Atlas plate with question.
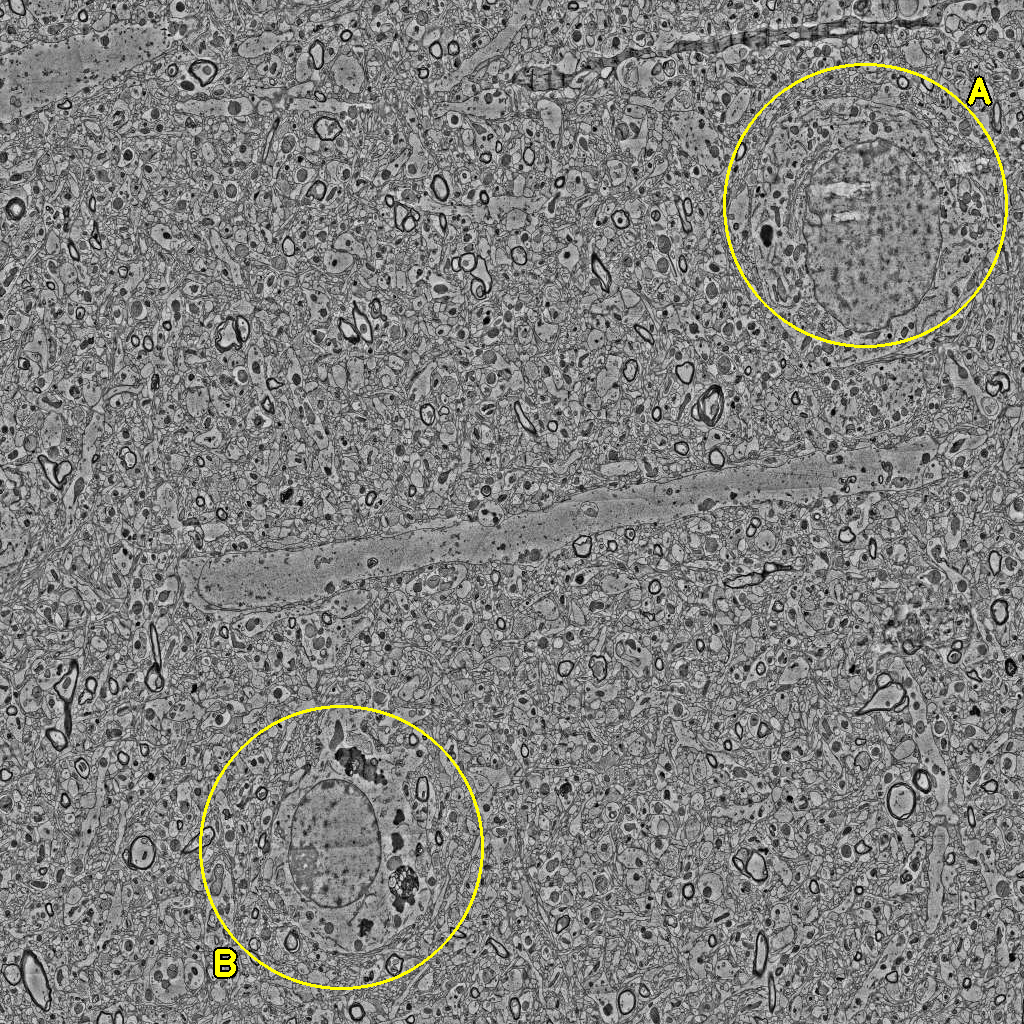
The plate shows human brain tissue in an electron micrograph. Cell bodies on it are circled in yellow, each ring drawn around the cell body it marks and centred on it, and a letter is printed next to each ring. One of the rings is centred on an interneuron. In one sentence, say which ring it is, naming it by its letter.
It is ring A.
